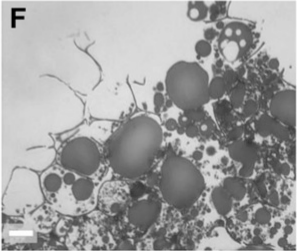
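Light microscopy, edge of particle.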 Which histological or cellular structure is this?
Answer: coalesced lipid droplets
